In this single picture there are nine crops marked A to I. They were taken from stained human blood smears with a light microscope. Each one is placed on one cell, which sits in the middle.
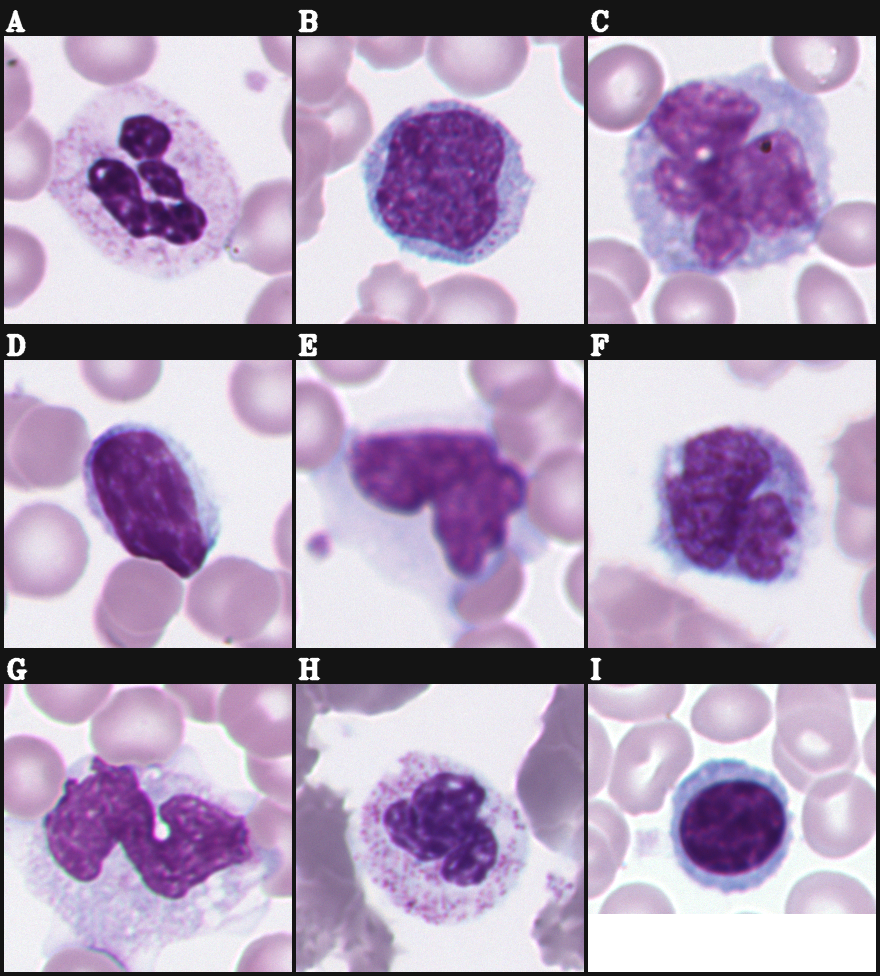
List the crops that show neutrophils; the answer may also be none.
A, H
